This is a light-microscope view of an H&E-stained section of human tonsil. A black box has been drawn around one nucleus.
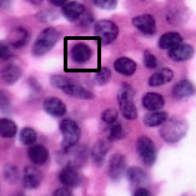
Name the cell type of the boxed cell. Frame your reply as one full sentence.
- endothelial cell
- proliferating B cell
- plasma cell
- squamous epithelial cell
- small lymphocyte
In this preparation, the boxed cell is a plasma cell.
